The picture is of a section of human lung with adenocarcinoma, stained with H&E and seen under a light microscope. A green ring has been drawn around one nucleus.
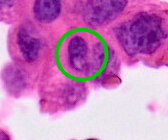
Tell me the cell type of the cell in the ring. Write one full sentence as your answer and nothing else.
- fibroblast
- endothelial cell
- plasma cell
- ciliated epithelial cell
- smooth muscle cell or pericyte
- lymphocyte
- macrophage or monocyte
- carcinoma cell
Just put down that the cell in the ring is a carcinoma cell.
